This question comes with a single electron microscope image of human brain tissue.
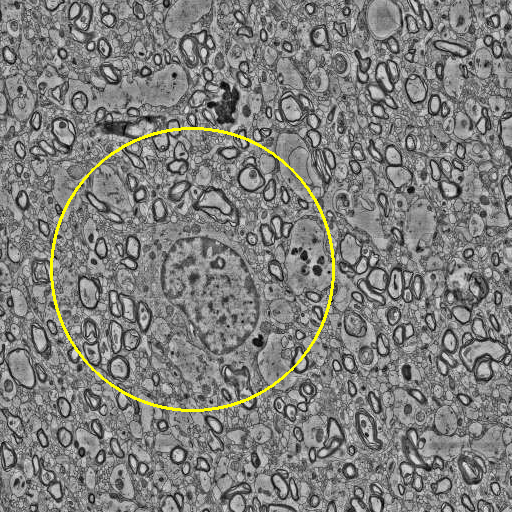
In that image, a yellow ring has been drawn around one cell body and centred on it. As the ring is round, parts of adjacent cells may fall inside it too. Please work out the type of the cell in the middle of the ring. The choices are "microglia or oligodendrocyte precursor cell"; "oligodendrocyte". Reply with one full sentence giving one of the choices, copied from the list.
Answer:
Of the choices, an oligodendrocyte is the cell sitting in the middle of the ring.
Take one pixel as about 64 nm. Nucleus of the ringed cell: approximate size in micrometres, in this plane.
In this plane the nucleus spans approximately 8 by 5 micrometers.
